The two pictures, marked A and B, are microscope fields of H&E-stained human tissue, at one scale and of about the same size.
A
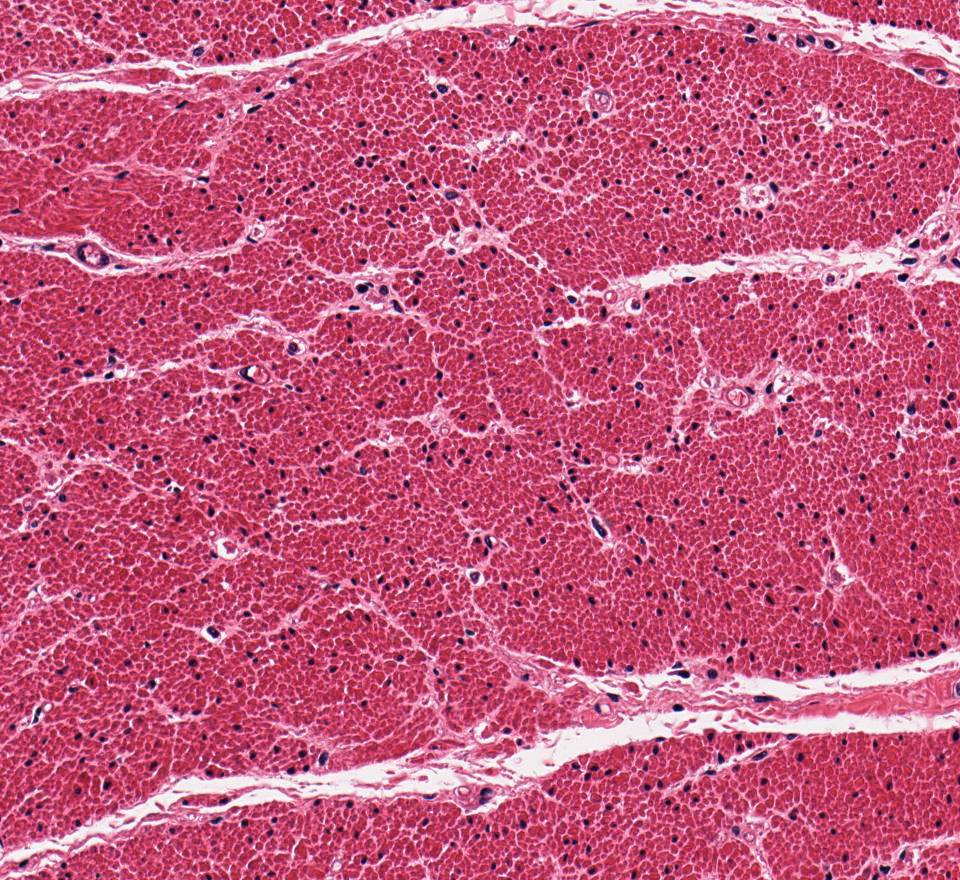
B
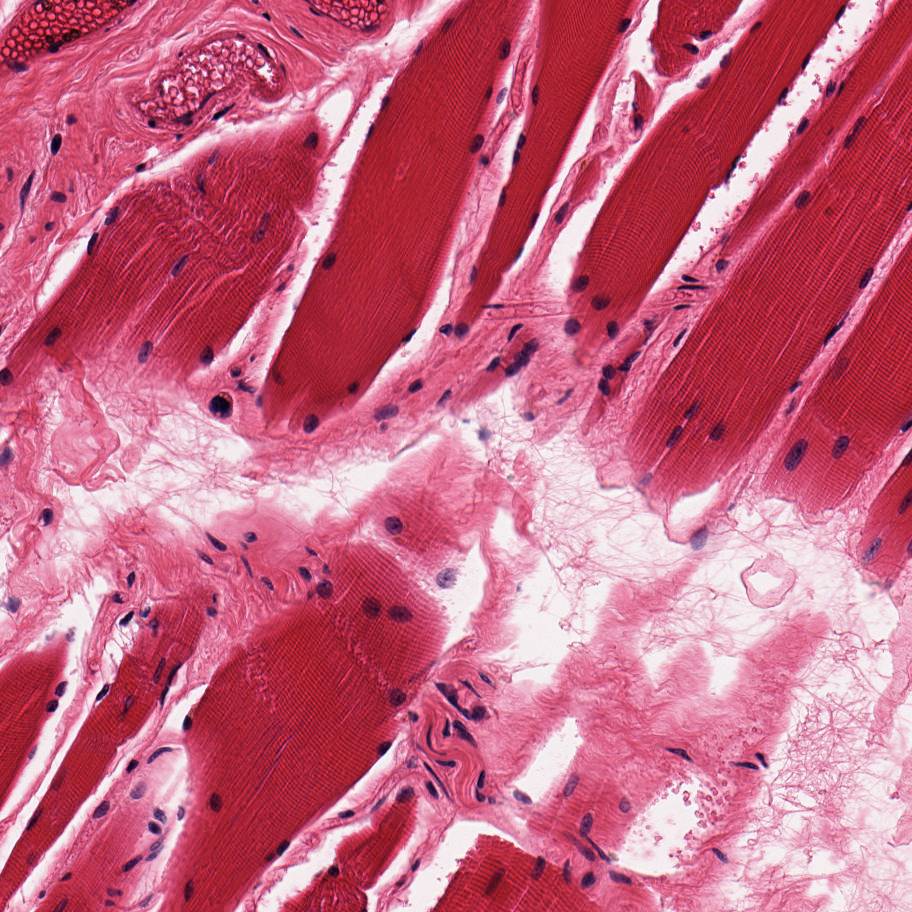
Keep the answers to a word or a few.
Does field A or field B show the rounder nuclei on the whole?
A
